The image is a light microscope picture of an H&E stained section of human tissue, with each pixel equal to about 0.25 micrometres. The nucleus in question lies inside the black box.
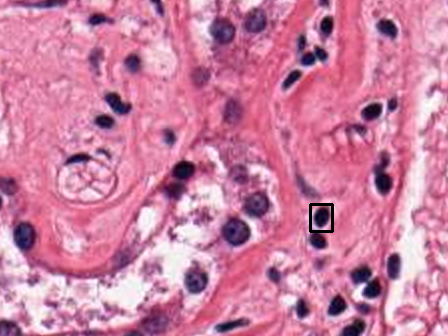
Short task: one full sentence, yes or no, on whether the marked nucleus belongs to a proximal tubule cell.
No, the marked nucleus belongs to a supporting cell of connective tissue, a vessel or the immune system, not to a proximal tubule cell.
